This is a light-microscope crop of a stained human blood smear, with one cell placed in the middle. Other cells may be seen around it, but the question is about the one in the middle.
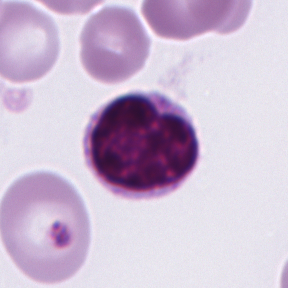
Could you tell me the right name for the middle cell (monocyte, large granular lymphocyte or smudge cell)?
large granular lymphocyte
